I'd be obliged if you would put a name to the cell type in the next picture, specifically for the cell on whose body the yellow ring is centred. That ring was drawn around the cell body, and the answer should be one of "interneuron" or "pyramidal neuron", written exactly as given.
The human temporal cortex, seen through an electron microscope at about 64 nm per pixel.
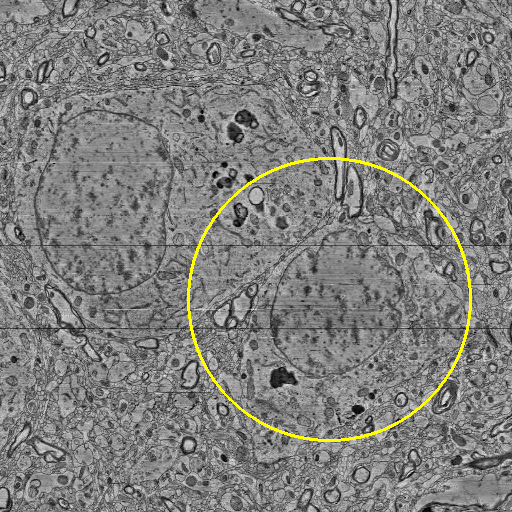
pyramidal neuron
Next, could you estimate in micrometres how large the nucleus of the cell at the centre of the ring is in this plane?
About 10 by 8 micrometres in this plane.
